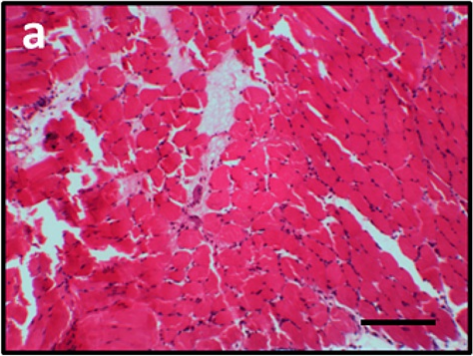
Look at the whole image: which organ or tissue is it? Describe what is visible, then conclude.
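Closely packed polygonal pink fibers cut in cross and oblique section. Small flattened dark nuclei lie at the edges of the fibers. The answer: Muscle.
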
